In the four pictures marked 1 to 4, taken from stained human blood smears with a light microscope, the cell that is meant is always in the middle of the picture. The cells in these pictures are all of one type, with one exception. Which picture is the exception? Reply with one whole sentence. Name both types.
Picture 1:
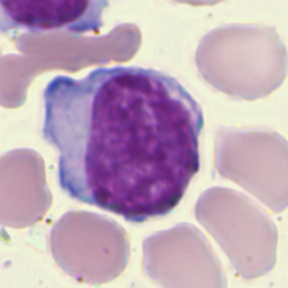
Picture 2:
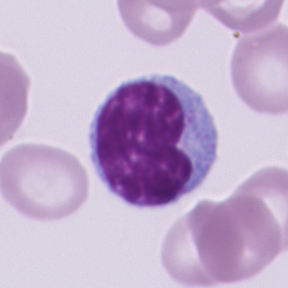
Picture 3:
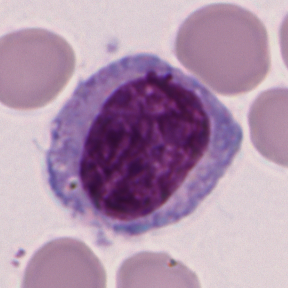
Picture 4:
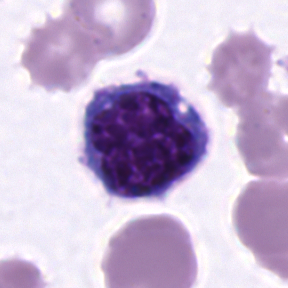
Picture 2 differs, because its cell is a typical lymphocyte and the rest are plasma cells.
